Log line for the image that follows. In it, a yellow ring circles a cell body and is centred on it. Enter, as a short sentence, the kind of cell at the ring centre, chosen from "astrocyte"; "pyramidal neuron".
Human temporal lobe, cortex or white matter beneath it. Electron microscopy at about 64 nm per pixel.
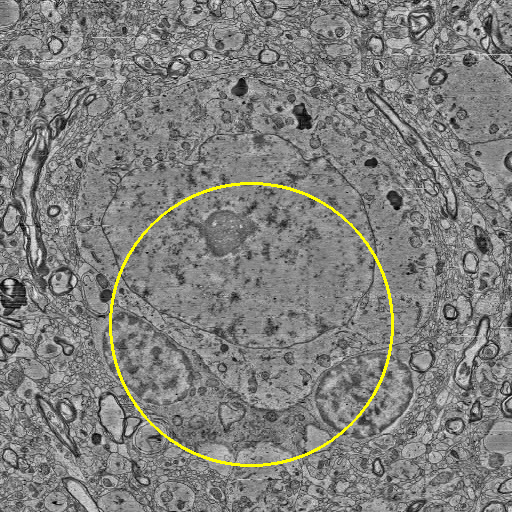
The ring centre is occupied by a pyramidal neuron.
